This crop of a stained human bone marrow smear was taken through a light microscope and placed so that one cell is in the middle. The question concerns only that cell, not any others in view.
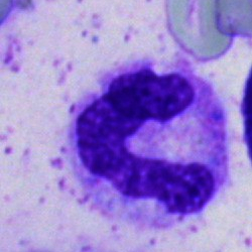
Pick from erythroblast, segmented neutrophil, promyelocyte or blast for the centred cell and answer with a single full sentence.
The middle of this crop holds a segmented neutrophil.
